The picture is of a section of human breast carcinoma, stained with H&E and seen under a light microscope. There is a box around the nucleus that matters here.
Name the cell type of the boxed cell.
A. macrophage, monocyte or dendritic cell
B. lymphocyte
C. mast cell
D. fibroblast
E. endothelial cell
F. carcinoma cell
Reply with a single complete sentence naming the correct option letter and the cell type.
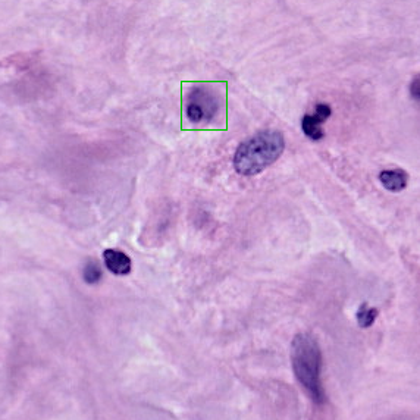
Identified correctly by option A, the boxed cell is a macrophage, monocyte or dendritic cell.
